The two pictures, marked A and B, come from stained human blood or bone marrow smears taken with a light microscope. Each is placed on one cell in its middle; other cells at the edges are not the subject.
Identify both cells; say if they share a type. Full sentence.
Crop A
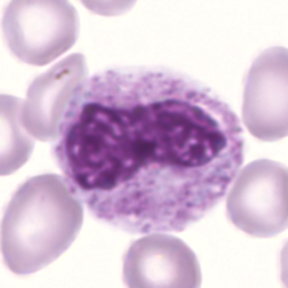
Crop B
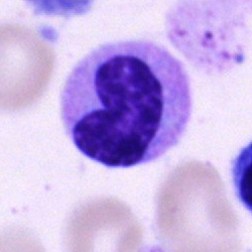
Yes, both crops alike show metamyelocytes at the centre.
